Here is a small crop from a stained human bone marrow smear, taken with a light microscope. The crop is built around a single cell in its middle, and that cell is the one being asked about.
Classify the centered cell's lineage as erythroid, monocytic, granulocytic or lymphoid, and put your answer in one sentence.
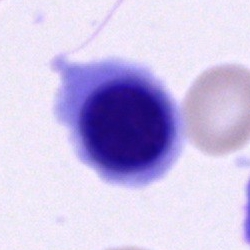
The middle cell should be classed under the erythroid lineage.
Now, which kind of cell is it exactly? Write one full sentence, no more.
The cell at the central position in this crop is an erythroblast.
